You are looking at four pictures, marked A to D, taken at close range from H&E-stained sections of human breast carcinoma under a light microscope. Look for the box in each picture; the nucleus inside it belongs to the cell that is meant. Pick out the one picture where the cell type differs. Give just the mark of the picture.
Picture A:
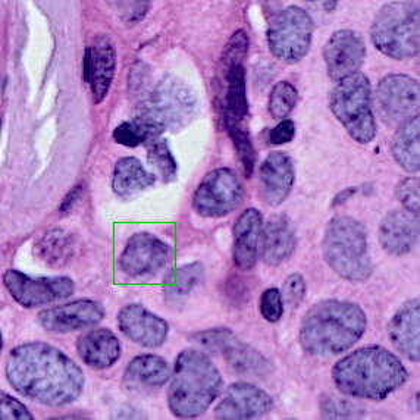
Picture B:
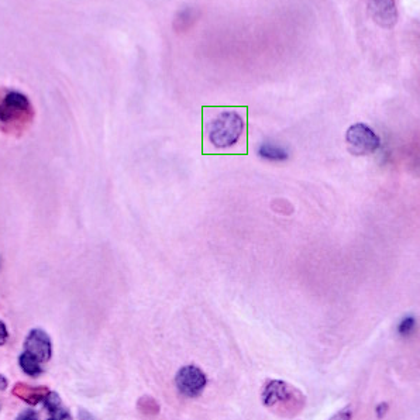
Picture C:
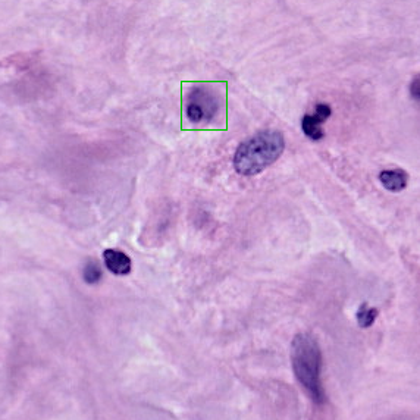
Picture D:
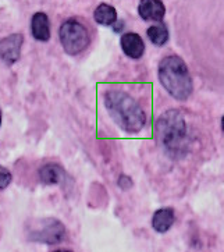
A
